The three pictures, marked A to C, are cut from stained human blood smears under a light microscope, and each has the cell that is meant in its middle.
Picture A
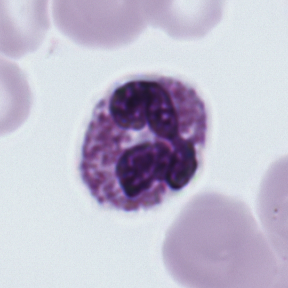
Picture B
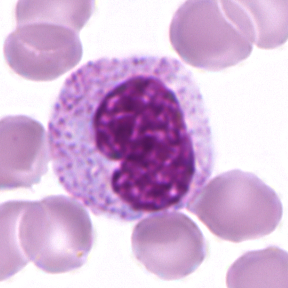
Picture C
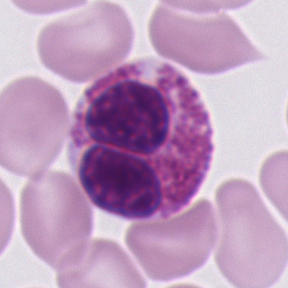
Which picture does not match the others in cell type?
B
